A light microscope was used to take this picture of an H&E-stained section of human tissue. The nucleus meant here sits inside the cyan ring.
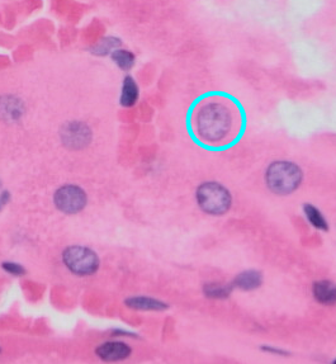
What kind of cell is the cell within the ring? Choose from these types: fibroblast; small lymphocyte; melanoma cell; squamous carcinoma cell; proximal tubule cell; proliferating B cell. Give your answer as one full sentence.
As classified here, the cell within the ring is a proximal tubule cell.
